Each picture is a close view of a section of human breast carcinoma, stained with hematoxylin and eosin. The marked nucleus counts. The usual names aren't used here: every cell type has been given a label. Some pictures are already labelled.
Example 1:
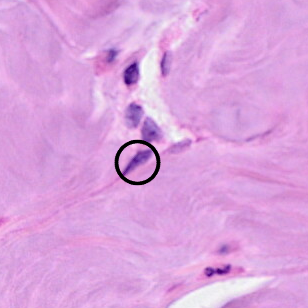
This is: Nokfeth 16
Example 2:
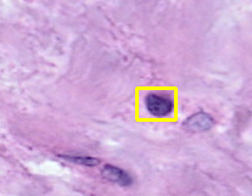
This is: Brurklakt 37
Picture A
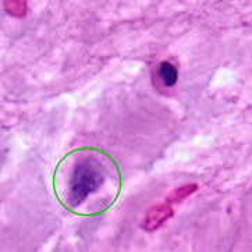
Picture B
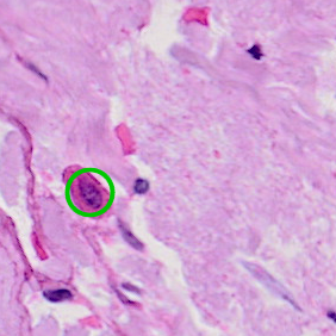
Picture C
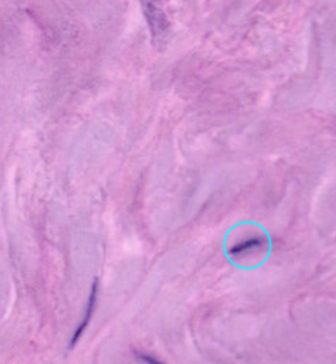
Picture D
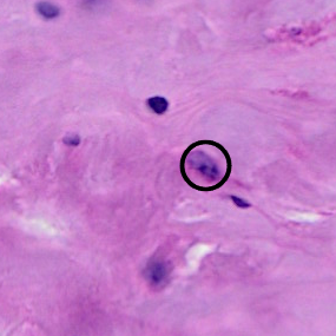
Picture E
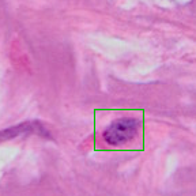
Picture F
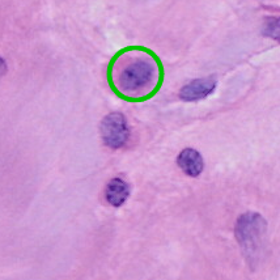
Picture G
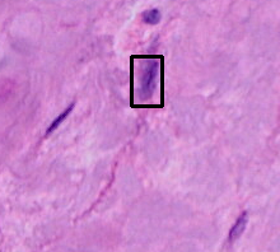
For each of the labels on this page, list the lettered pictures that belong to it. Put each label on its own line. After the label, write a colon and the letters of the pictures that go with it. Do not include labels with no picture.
Nokfeth 16: A, C, G
Brurklakt 37: B, D, E, F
